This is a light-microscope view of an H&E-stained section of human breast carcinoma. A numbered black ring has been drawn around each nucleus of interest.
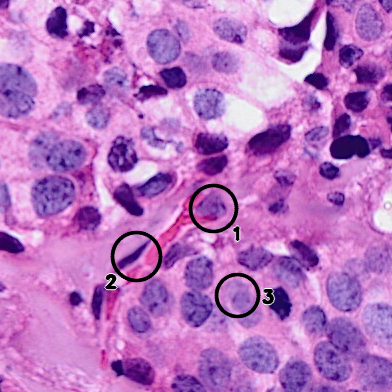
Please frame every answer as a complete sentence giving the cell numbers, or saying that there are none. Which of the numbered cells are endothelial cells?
The cells to which the numbers 1 and 2 refer are endothelial cells.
